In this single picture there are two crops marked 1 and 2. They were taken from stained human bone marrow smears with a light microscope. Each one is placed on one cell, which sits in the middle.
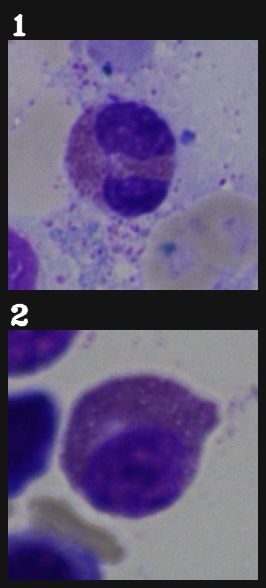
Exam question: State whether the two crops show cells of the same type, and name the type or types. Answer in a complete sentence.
Yes, both crops are centred on eosinophils.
